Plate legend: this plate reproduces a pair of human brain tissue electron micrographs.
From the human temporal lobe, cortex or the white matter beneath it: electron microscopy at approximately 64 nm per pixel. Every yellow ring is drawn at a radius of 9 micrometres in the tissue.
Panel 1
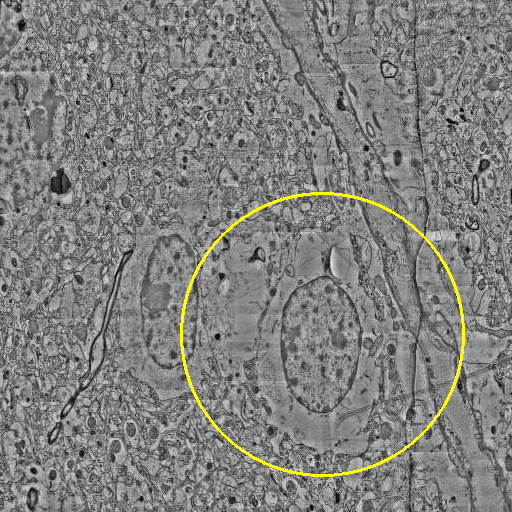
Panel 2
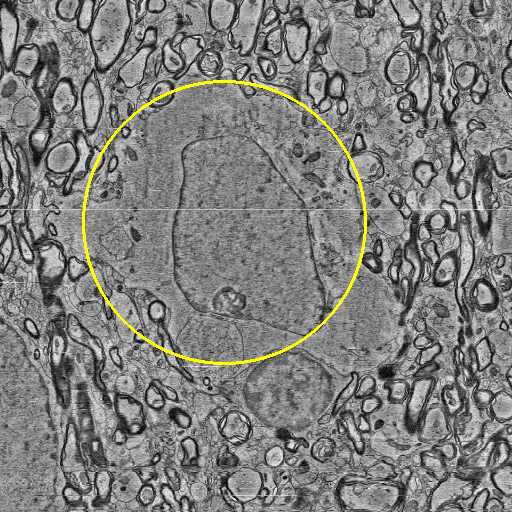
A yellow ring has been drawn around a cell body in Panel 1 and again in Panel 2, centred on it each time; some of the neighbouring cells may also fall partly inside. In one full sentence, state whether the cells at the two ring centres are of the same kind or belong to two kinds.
The ring-centred cells of Panel 1 and Panel 2 are of the same kind.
